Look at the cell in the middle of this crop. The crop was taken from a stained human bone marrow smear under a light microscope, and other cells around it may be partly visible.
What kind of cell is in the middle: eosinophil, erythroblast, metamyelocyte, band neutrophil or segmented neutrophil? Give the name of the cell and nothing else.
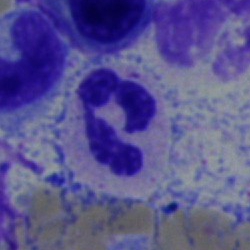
segmented neutrophil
